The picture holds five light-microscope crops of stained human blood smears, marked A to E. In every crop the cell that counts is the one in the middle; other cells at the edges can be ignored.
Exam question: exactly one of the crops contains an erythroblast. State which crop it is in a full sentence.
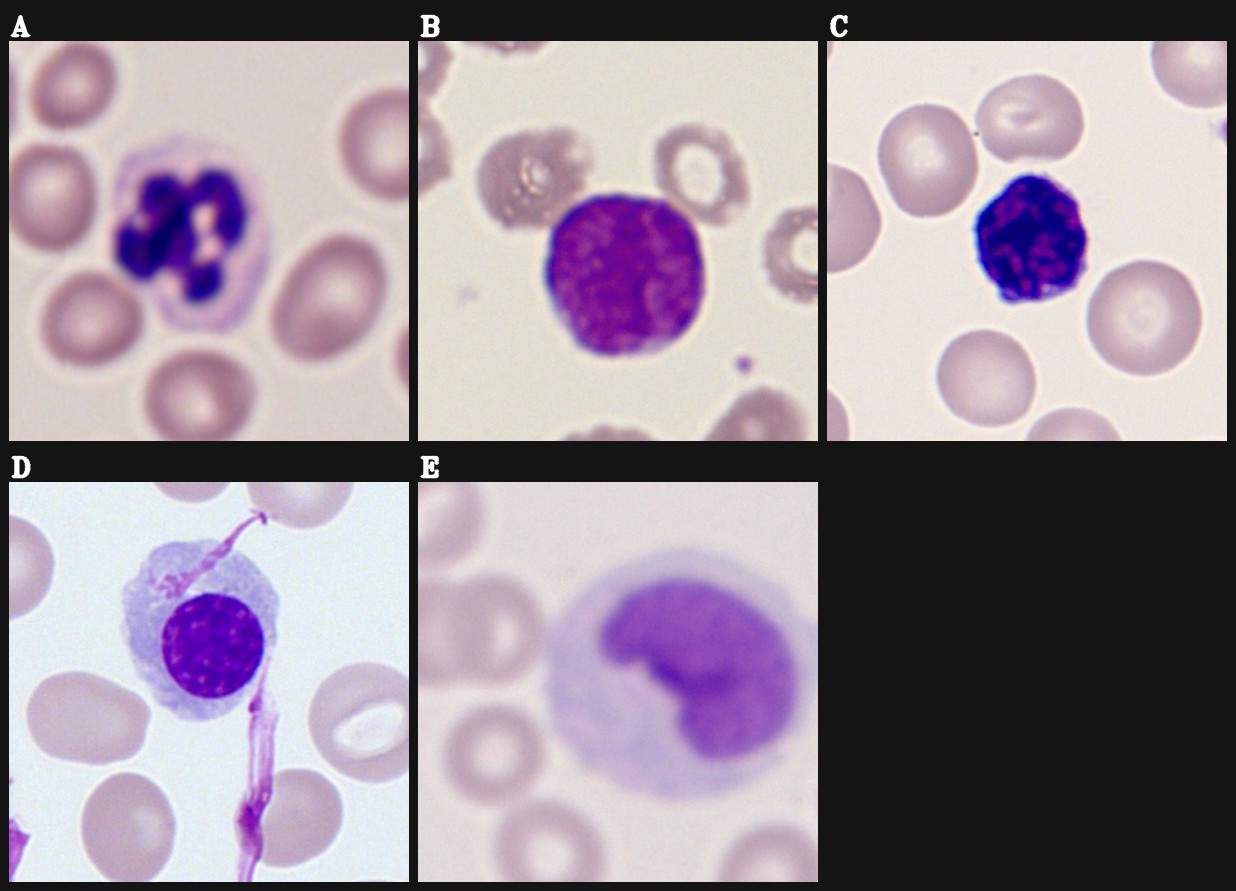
Crop D is where an erythroblast is shown.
